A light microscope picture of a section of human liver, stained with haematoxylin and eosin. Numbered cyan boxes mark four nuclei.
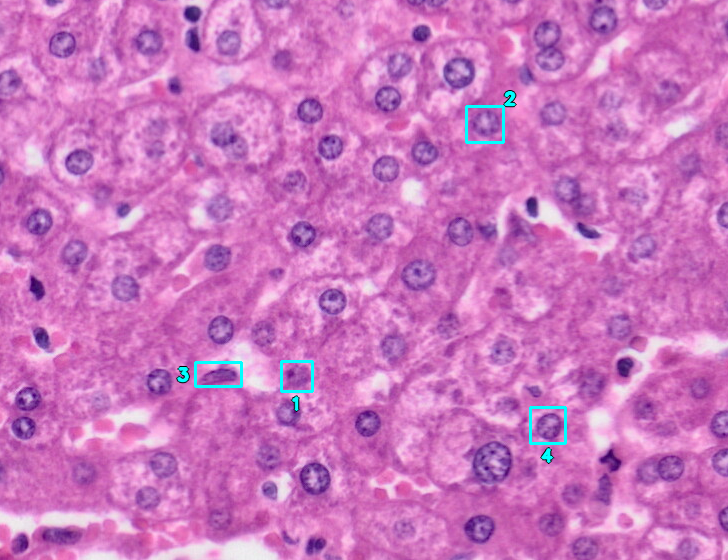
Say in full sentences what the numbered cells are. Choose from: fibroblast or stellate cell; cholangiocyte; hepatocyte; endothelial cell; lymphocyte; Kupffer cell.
Cells 1, 2 and 4 are hepatocytes. Cell 3 is a Kupffer cell.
